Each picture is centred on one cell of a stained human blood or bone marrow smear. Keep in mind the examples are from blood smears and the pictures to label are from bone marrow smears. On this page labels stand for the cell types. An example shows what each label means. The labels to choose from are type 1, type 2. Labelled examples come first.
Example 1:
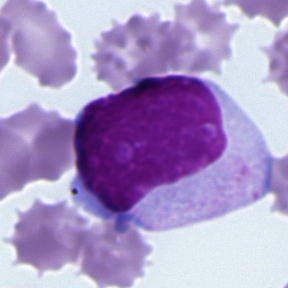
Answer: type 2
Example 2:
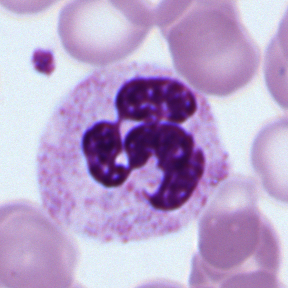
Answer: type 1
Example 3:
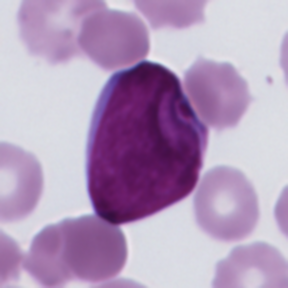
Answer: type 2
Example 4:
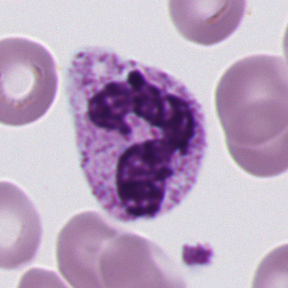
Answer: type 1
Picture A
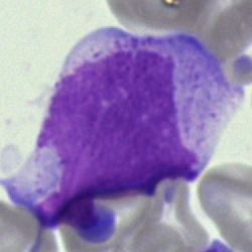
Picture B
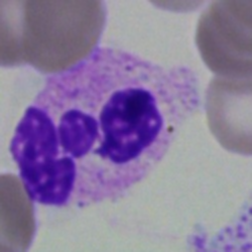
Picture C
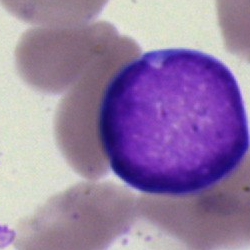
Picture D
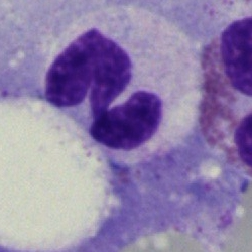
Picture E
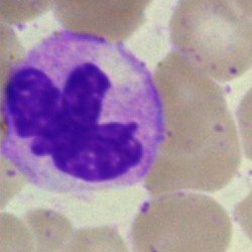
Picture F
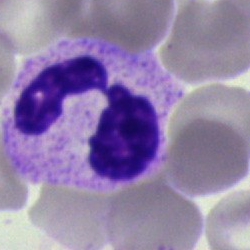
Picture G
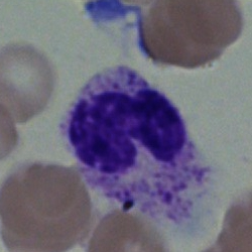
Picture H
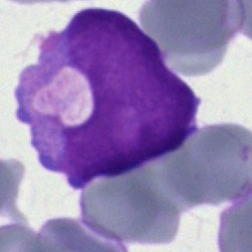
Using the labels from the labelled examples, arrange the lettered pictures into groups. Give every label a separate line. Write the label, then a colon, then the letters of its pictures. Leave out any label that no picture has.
type 1: B, D, E, F, G
type 2: A, C, H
